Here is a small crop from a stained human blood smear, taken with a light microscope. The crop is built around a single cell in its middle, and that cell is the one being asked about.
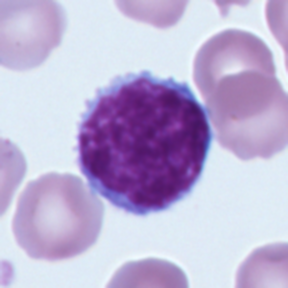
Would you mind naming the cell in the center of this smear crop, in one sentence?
The cell around which this crop is centred is a typical lymphocyte.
